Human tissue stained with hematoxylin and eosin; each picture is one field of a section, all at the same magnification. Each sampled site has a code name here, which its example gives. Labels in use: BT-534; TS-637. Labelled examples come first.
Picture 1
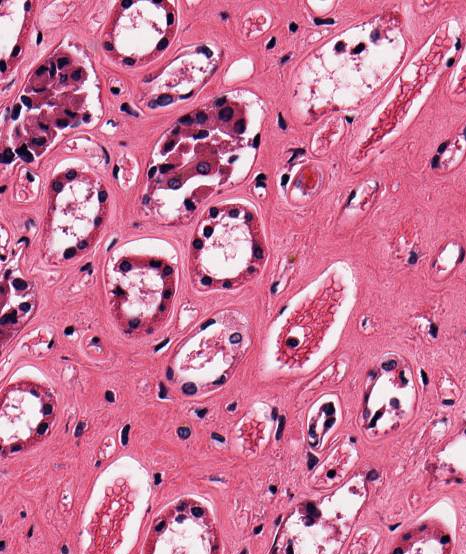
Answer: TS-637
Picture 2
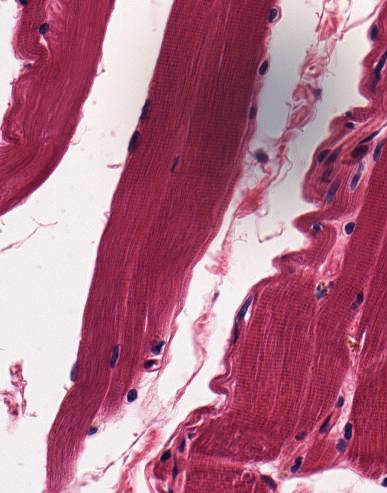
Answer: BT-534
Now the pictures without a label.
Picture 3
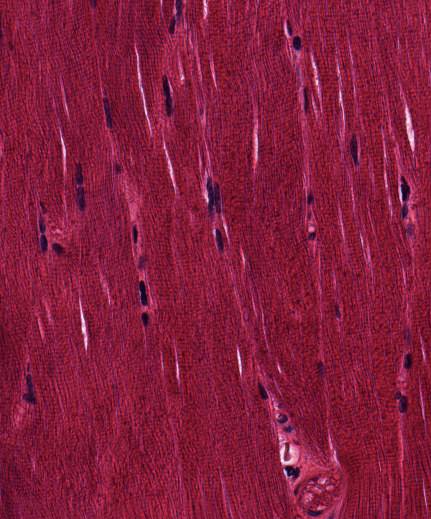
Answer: BT-534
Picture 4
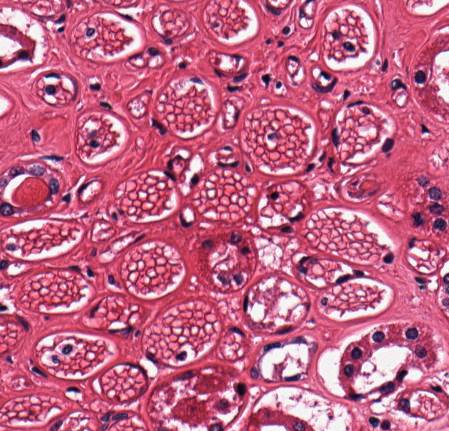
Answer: TS-637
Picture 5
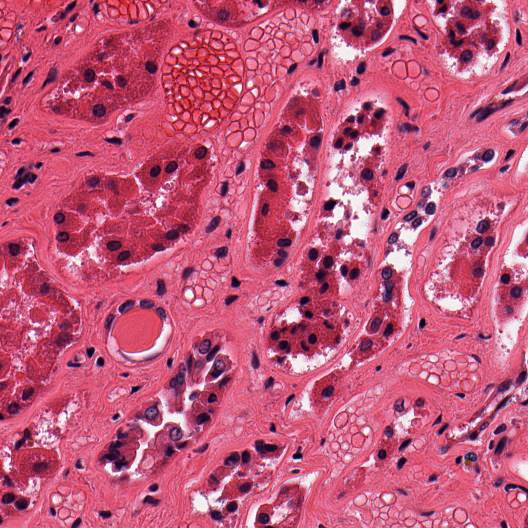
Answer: TS-637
